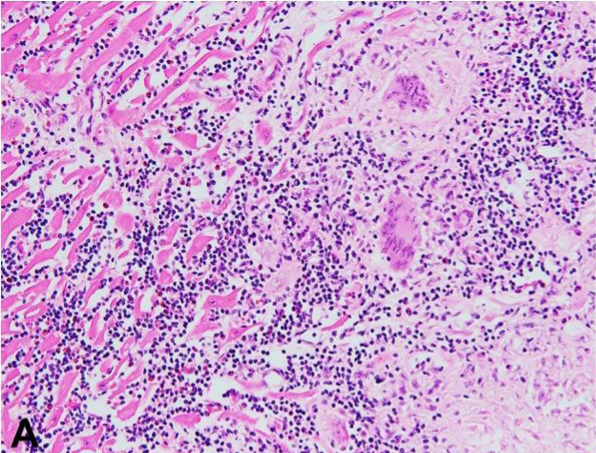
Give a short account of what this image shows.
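This is heart muscle overrun by inflammation. On the left, pink strips of cardiac muscle fibres are separated and broken up by crowds of small cells with round, dark purple nuclei. Toward the centre the muscle gives way almost entirely to this dense mixed infiltrate, with paler, larger cells scattered among the small ones. Two striking cells stand out: large pink cells, each carrying many purple nuclei crowded together, the multinucleate giant cells. The muscle fibres near the infiltrate are fragmented and irregular, a sign of myocyte necrosis at the edge of the lesion.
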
